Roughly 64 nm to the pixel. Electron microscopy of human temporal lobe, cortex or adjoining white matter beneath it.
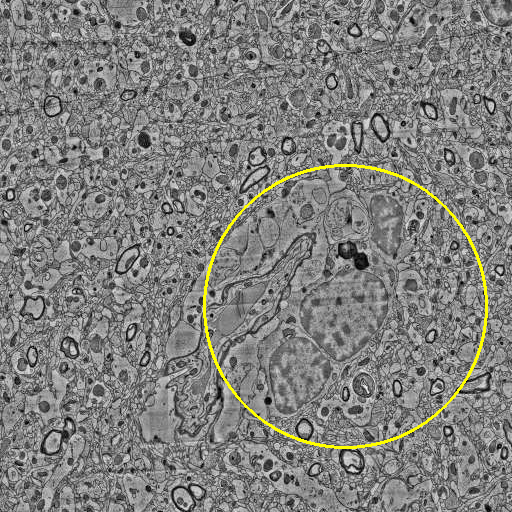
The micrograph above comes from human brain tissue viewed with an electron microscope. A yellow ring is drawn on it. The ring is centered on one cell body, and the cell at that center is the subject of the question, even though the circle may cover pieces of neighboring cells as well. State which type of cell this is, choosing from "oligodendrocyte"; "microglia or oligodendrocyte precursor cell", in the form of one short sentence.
The cell the ring is centered on is an oligodendrocyte.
